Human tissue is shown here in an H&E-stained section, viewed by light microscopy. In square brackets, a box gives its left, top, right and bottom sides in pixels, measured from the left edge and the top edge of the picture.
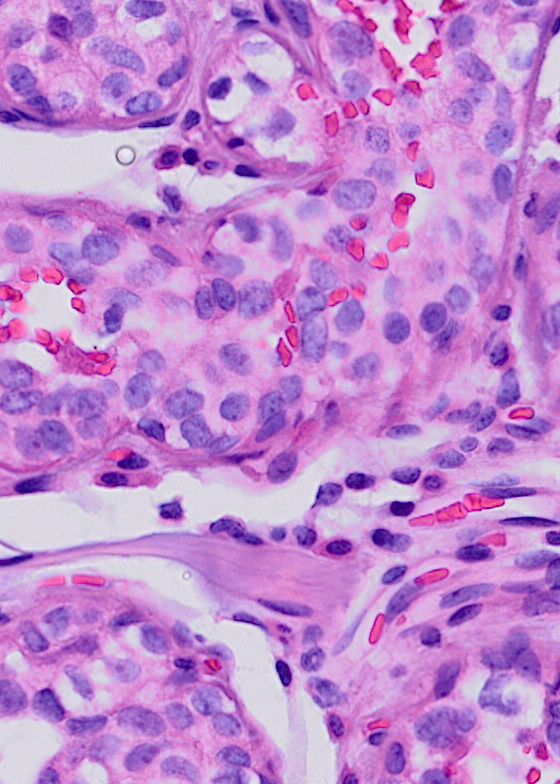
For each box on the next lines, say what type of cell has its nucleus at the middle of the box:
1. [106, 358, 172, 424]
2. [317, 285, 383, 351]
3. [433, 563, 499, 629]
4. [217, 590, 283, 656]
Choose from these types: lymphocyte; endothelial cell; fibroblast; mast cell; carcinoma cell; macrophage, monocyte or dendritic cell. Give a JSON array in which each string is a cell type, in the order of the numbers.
["carcinoma cell", "carcinoma cell", "endothelial cell", "fibroblast"]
